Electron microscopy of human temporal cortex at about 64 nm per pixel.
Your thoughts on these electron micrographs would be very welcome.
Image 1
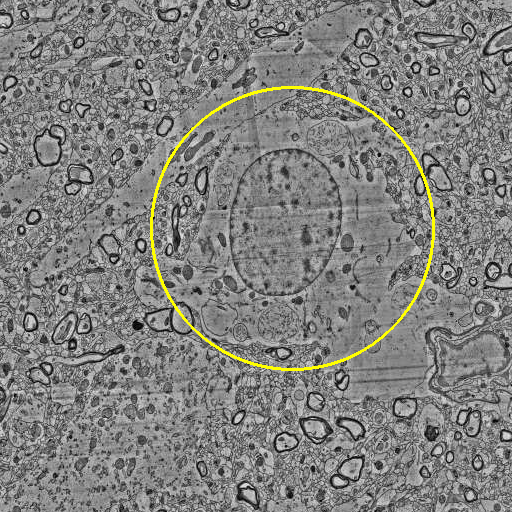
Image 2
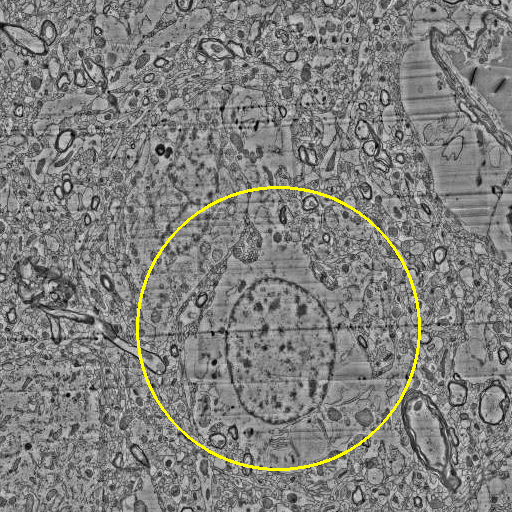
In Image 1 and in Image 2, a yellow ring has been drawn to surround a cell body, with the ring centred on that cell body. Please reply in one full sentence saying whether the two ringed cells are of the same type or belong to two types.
The ringed cells in Image 1 and Image 2 are of the same type.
